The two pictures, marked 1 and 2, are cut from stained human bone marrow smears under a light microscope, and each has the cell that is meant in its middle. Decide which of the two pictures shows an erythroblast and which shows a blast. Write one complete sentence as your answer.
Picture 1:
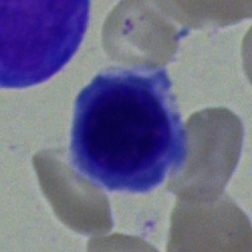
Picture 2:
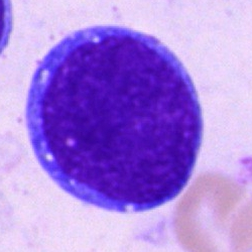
The cell in picture 1 is an erythroblast, and the one in picture 2 is a blast.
